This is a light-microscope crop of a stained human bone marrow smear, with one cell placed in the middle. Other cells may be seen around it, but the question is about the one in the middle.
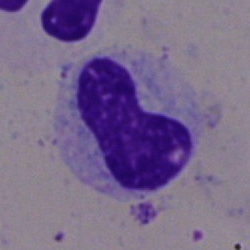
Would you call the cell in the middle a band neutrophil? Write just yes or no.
yes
